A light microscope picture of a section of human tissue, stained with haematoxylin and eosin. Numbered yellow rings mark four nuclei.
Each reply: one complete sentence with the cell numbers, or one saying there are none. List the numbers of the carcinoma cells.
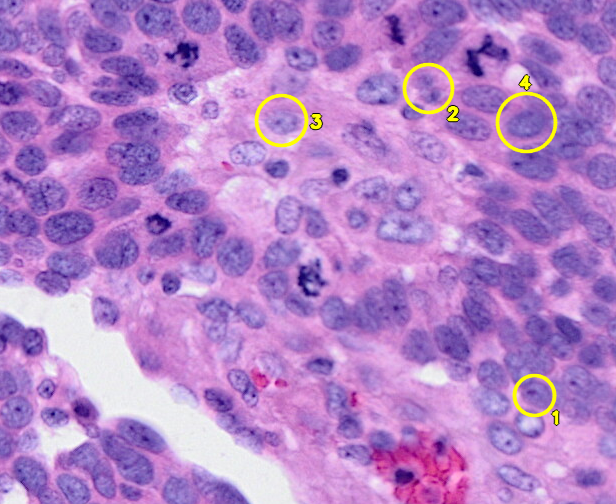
Here, the cells that carry numbers 1 and 4 are carcinoma cells.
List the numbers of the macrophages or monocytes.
It is only cell 2 that is a macrophage or monocyte among the numbered cells.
